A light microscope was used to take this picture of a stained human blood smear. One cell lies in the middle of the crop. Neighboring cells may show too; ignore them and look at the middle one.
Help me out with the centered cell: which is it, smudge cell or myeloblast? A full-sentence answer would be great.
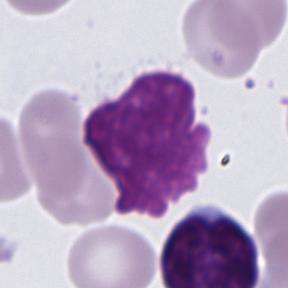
At the middle of the frame sits a smudge cell.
